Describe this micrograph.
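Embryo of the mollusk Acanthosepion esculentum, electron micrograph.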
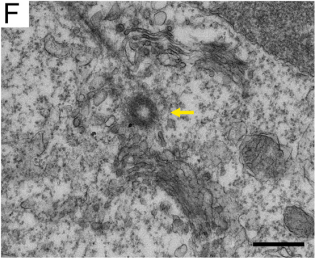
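The centriole appears as a small round ring, marked by an arrow, lying between stacks of flattened, parallel membrane cisternae above and below it. A mitochondrion with internal cristae lies to one side, and the part of a nucleus is seen at the upper right corner.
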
